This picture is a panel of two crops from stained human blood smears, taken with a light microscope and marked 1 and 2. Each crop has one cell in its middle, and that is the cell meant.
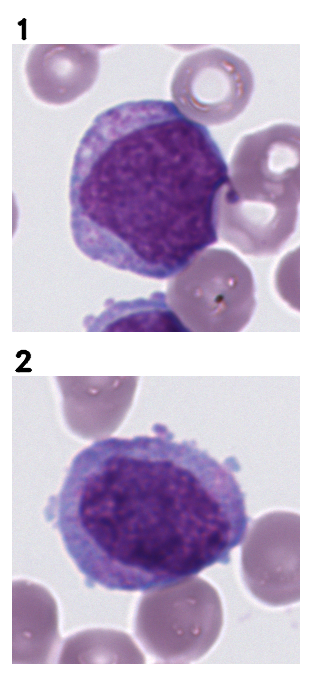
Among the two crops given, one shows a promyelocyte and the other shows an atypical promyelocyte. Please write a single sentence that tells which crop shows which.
The cell of interest in crop 1 is a promyelocyte, and in crop 2 it is an atypical promyelocyte.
